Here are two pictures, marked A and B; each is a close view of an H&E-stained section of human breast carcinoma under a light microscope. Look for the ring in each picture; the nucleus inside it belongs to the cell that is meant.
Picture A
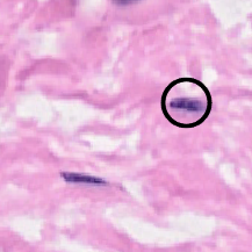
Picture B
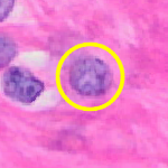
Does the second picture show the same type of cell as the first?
no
